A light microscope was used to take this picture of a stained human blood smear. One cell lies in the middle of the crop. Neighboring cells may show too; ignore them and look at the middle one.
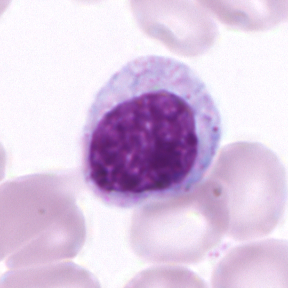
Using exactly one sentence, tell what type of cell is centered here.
Present in the middle of the crop is a metamyelocyte.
